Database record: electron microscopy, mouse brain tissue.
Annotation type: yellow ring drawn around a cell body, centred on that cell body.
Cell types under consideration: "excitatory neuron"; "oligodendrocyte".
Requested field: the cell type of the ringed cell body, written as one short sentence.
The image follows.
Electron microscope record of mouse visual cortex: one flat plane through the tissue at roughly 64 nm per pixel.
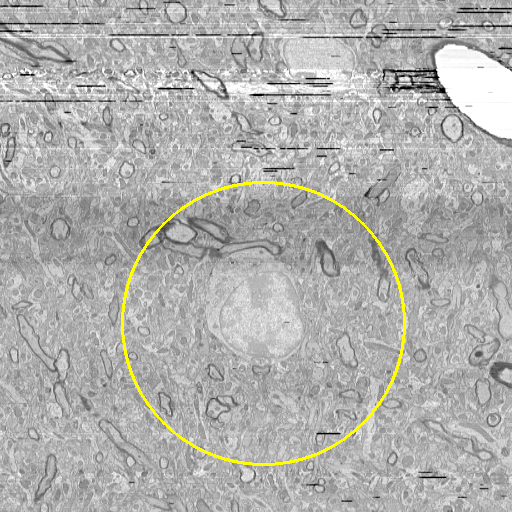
The ringed cell body represents an oligodendrocyte.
